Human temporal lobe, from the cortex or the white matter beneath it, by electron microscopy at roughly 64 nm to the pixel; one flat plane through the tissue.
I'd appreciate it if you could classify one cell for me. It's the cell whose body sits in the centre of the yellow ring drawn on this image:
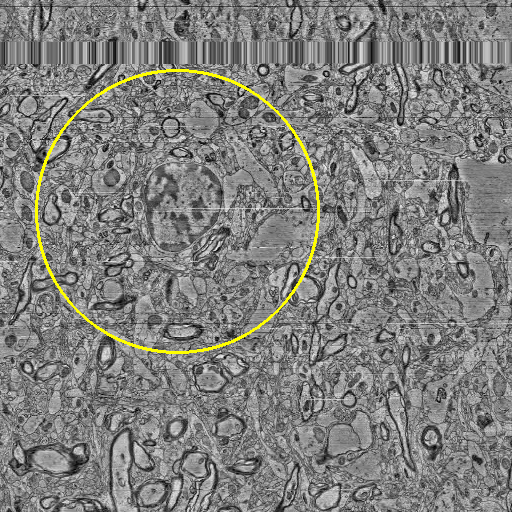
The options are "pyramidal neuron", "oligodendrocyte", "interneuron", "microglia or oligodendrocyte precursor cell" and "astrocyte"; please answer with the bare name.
microglia or oligodendrocyte precursor cell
